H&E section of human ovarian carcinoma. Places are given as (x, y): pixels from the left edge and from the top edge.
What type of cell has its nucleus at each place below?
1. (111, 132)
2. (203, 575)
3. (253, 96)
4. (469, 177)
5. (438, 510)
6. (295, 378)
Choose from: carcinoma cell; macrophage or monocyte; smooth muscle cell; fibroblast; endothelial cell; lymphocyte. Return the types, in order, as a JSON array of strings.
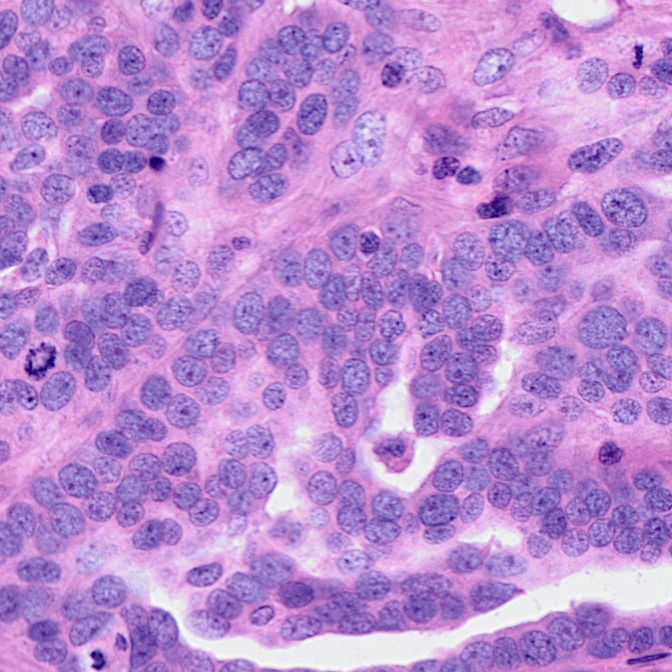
["carcinoma cell", "macrophage or monocyte", "carcinoma cell", "lymphocyte", "carcinoma cell", "carcinoma cell"]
